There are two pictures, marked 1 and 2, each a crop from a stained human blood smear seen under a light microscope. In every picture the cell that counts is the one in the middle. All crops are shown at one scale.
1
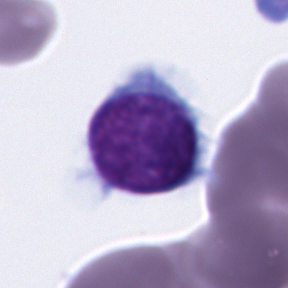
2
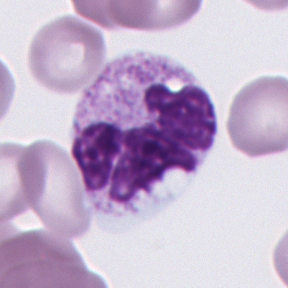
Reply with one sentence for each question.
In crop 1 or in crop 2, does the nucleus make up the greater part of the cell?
The nucleus fills more of the cell in crop 1 than in crop 2.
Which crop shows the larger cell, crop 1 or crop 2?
It is the cell in crop 2, about 1.5 times as large in area as the cell in crop 1.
